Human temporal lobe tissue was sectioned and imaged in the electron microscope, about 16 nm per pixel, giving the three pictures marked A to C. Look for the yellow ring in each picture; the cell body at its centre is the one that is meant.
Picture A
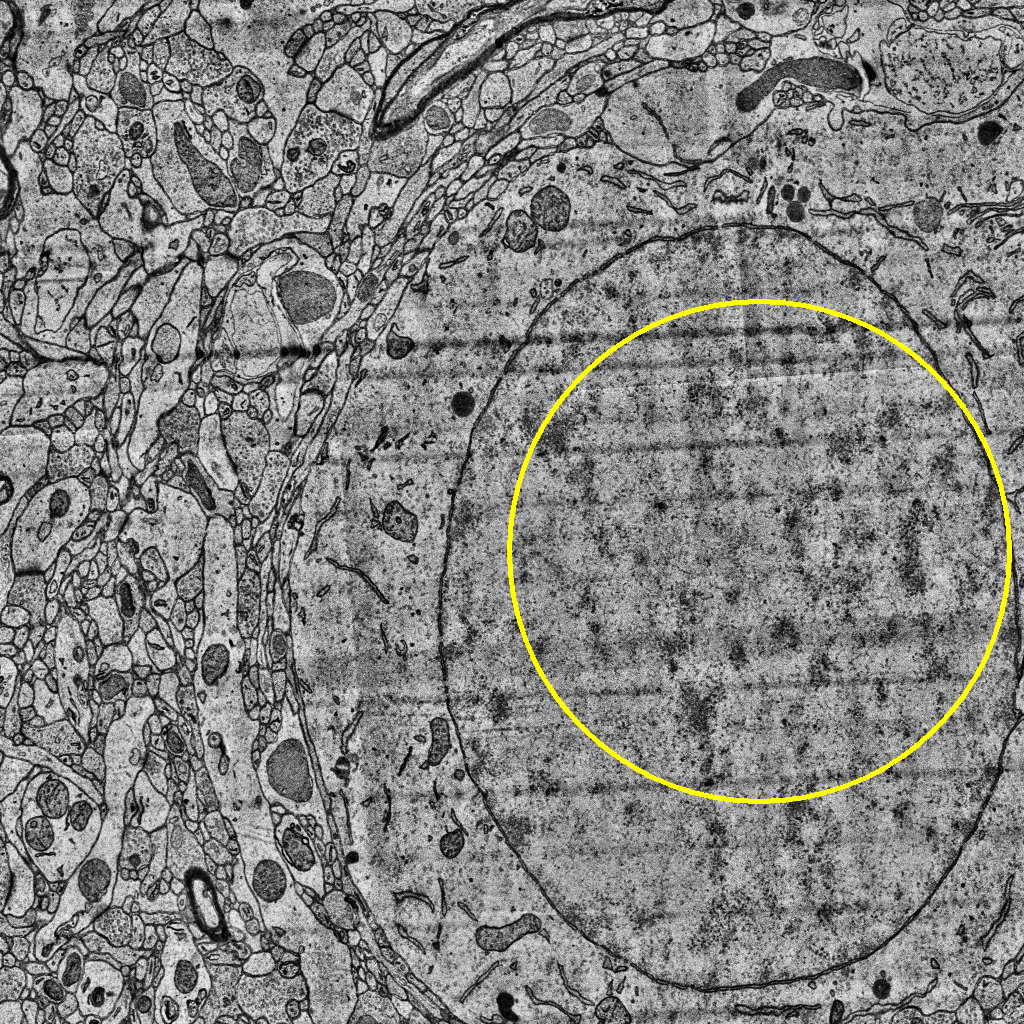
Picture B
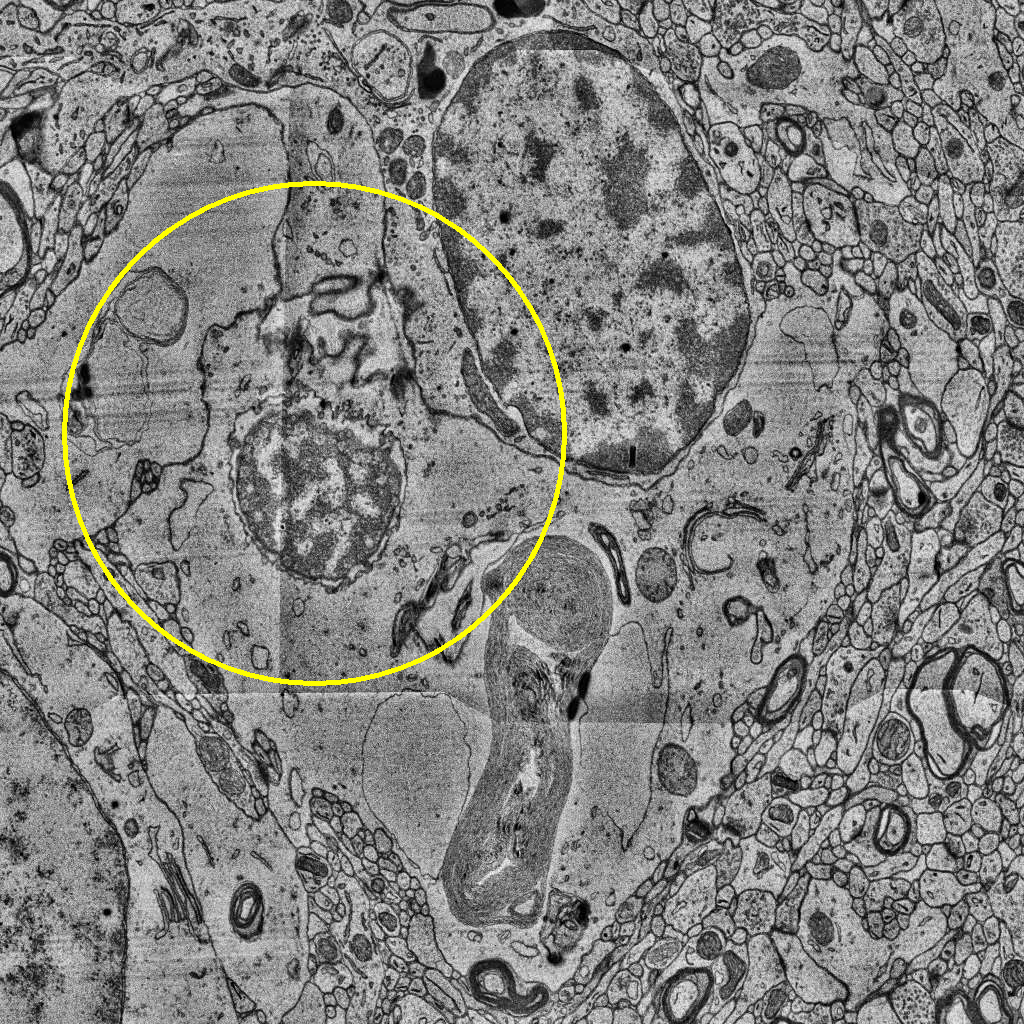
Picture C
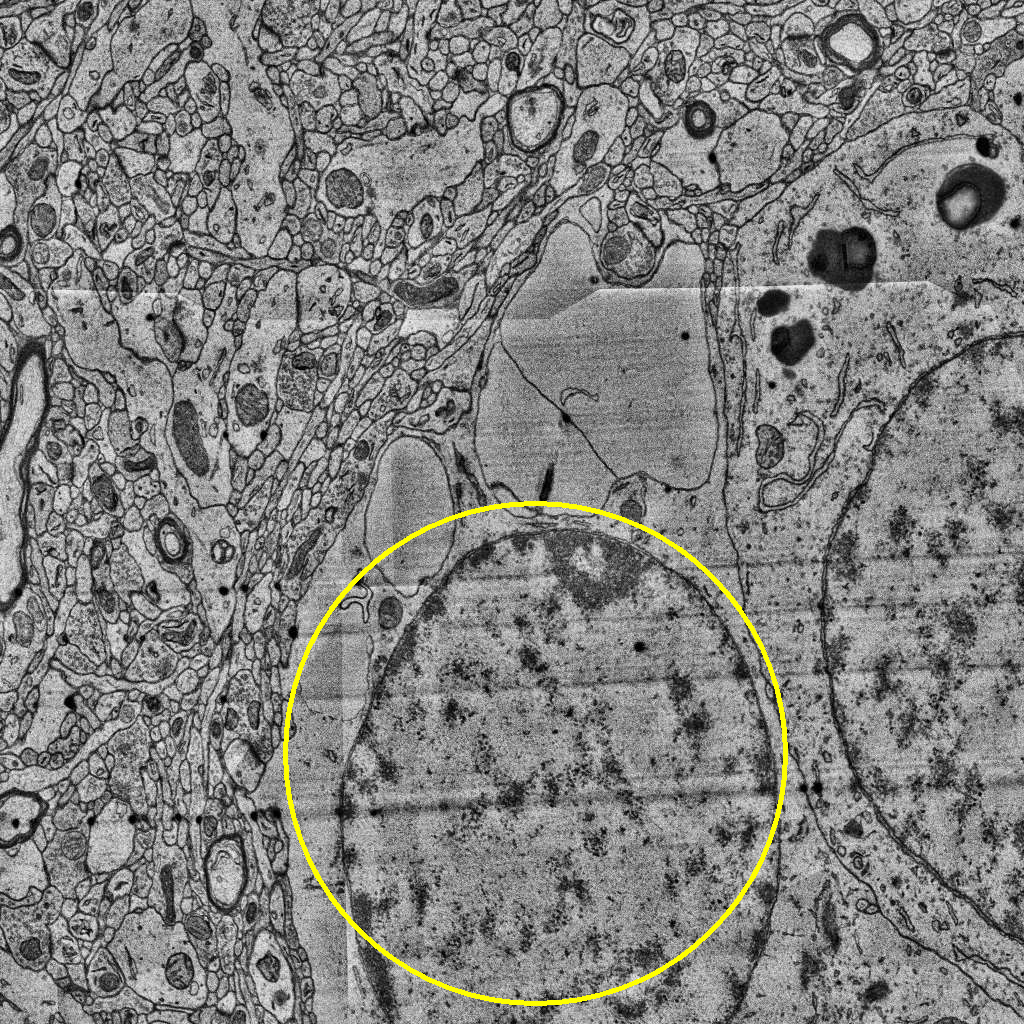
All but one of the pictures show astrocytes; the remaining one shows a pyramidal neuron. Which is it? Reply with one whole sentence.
The cell in picture A is the pyramidal neuron.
